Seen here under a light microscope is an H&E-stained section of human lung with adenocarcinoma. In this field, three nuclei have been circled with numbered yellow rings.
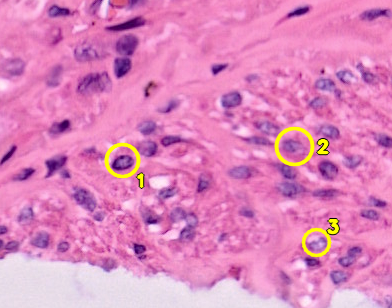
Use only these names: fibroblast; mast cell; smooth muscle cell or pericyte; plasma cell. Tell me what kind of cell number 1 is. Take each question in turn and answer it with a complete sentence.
The cell with the number 1 is a mast cell.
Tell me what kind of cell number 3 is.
Number 3 is placed on a smooth muscle cell or pericyte here.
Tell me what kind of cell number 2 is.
Recognised here as a smooth muscle cell or pericyte is the cell numbered 2.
